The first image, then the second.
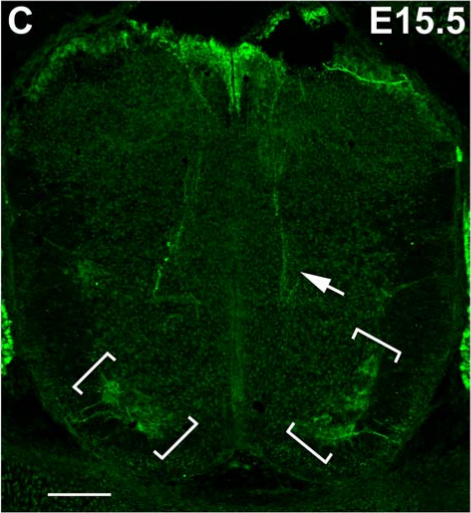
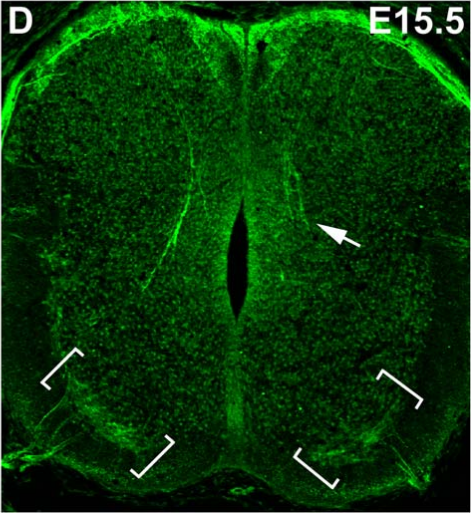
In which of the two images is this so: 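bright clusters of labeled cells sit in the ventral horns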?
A: The first image.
